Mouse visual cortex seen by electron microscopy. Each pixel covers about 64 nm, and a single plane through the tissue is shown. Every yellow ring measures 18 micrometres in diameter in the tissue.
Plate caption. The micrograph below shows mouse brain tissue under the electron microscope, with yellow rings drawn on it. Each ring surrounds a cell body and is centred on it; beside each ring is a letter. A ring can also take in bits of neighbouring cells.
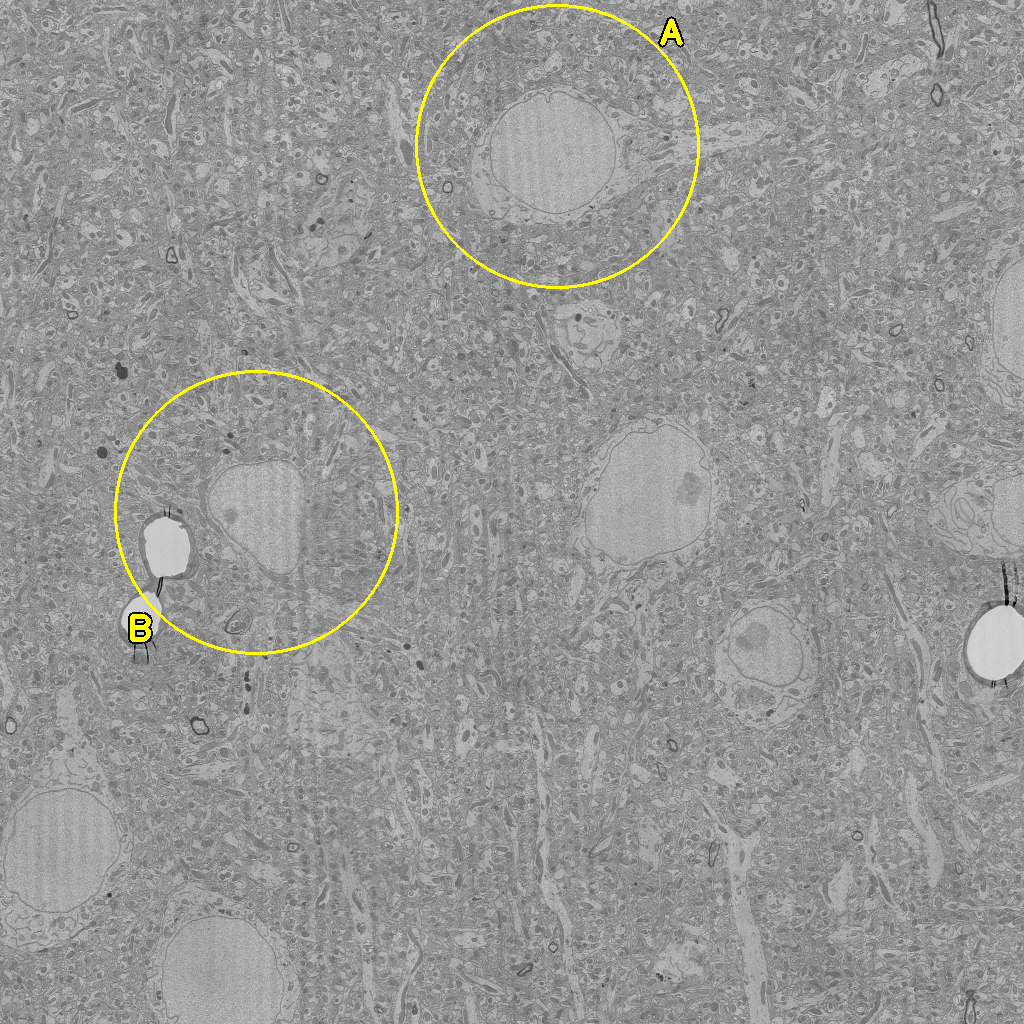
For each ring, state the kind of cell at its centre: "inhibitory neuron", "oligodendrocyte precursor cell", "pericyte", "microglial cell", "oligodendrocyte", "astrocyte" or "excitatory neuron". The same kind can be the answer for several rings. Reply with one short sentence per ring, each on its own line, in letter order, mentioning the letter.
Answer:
Ring A is drawn around an excitatory neuron.
Ring B is drawn around an astrocyte.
